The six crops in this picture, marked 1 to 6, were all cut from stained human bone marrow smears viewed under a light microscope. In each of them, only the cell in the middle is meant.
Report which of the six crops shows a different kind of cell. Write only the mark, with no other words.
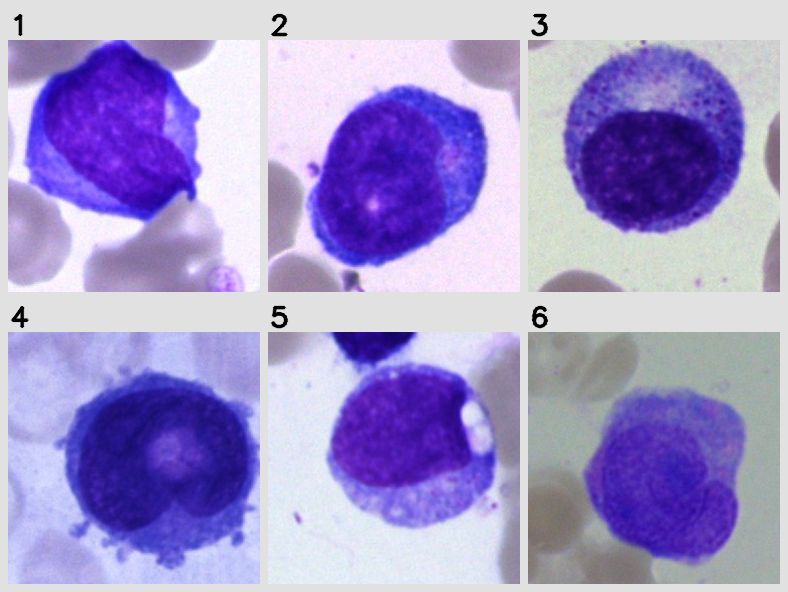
3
